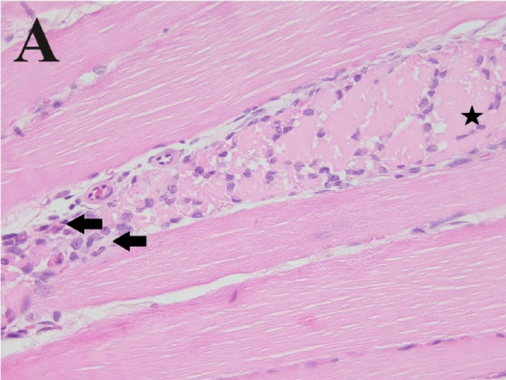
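This is skeletal muscle in which one fiber has undergone necrosis and is surrounded by inflammatory infiltrates of mostly mononuclear cells. The neighbouring fibers are long, evenly pink and finely striated, but the central one is pale, broken up into fragments and vacuoles. Around and within it lie many small cells with single round or oval dark purple nuclei, crowded most densely at its left end. Small vessels with red cells are seen among the infiltrate.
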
